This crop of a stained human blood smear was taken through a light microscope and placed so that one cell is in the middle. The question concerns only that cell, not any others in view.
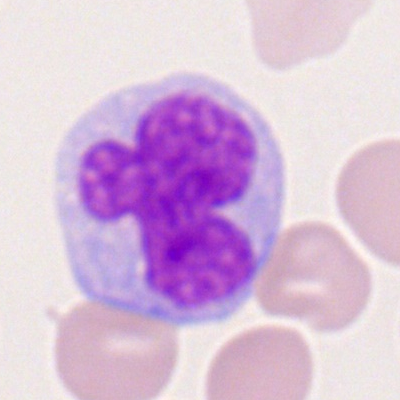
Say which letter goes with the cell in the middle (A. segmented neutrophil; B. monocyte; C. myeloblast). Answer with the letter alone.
B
